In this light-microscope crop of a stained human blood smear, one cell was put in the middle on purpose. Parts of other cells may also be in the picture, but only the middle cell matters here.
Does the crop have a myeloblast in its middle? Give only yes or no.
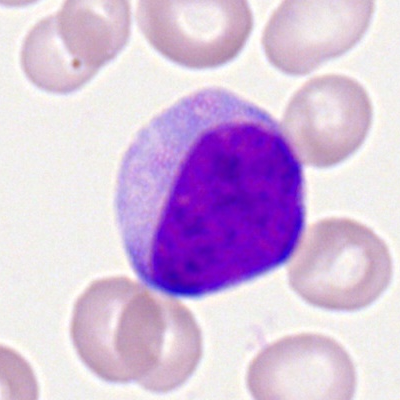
yes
